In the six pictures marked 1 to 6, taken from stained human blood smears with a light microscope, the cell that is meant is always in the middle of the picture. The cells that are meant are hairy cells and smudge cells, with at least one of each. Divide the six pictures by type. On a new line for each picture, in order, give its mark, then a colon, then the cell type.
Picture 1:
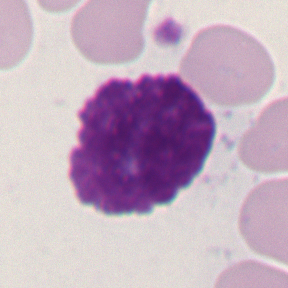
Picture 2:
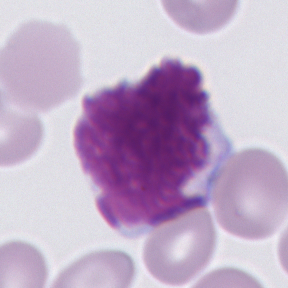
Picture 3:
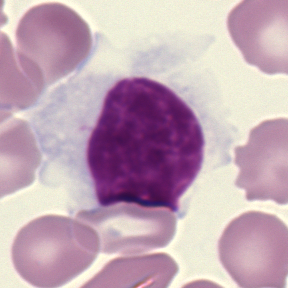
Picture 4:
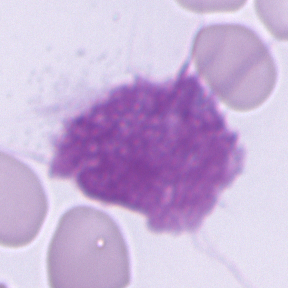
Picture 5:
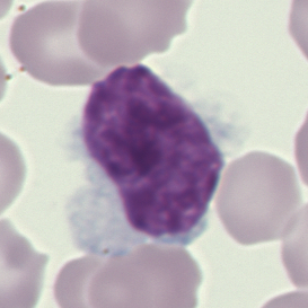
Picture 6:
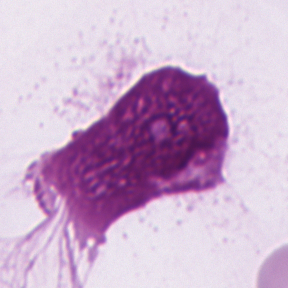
1: smudge cell
2: smudge cell
3: hairy cell
4: smudge cell
5: hairy cell
6: smudge cell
